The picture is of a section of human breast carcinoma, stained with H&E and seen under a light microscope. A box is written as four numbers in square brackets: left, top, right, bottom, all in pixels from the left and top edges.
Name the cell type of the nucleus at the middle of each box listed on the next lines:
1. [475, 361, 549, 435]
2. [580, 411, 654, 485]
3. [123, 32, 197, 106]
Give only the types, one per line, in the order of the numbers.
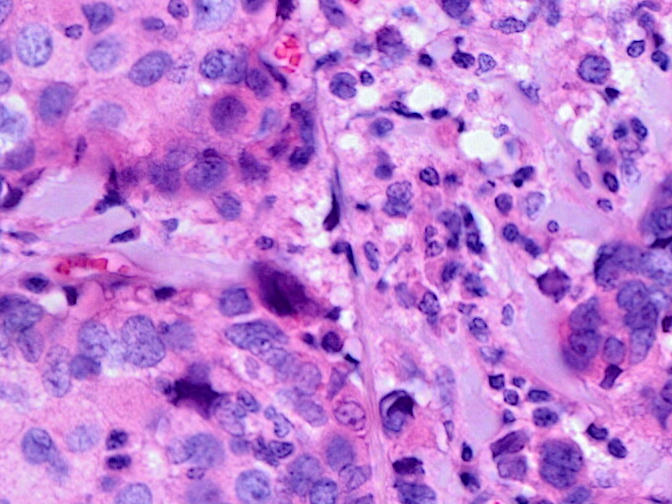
lymphocyte
lymphocyte
carcinoma cell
